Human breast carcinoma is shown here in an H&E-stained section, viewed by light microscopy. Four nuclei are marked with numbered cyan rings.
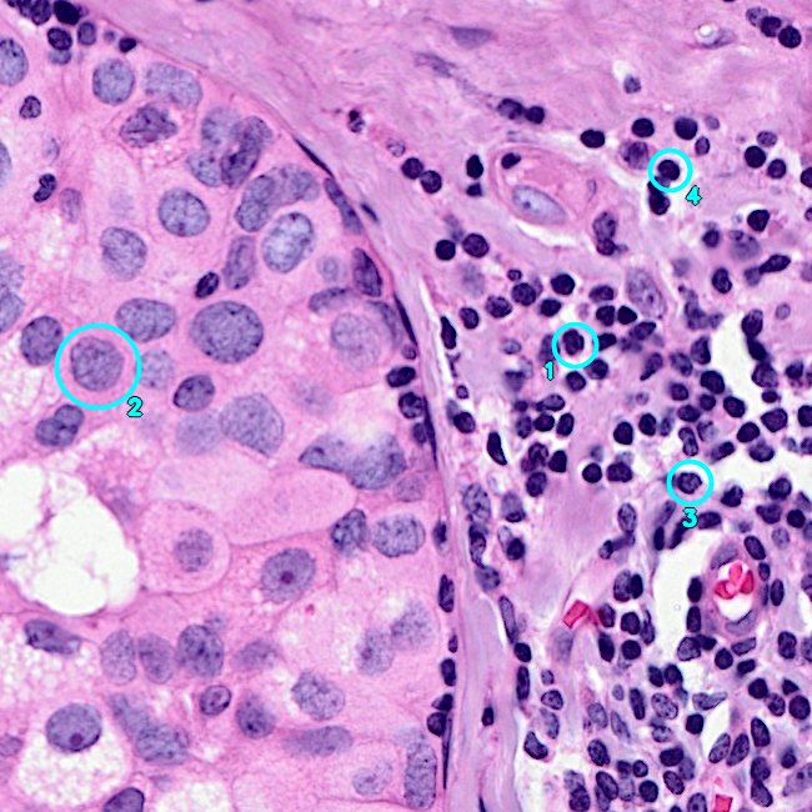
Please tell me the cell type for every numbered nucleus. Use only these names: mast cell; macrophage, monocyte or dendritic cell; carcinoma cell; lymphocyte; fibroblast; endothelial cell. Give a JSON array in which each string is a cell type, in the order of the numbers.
["lymphocyte", "carcinoma cell", "lymphocyte", "lymphocyte"]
